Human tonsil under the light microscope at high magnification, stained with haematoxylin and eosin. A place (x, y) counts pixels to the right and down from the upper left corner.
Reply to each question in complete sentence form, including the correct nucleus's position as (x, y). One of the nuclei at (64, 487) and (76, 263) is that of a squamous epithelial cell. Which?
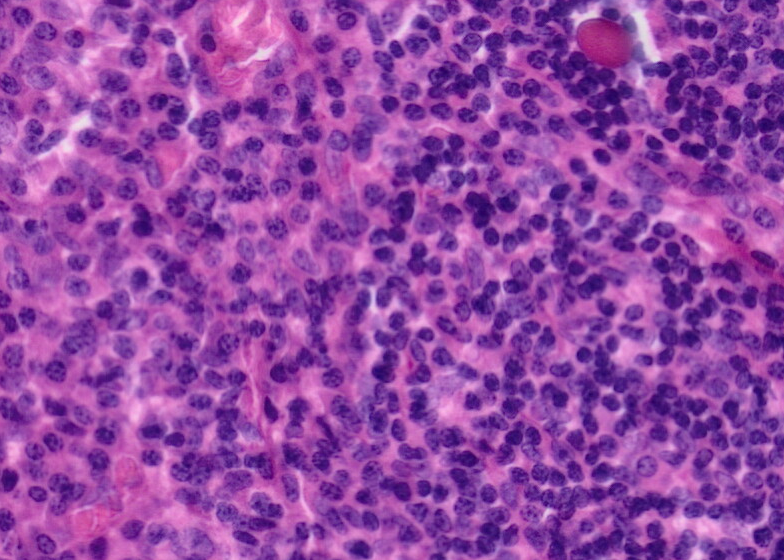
The nucleus that sits at (76, 263) is the nucleus of a squamous epithelial cell.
